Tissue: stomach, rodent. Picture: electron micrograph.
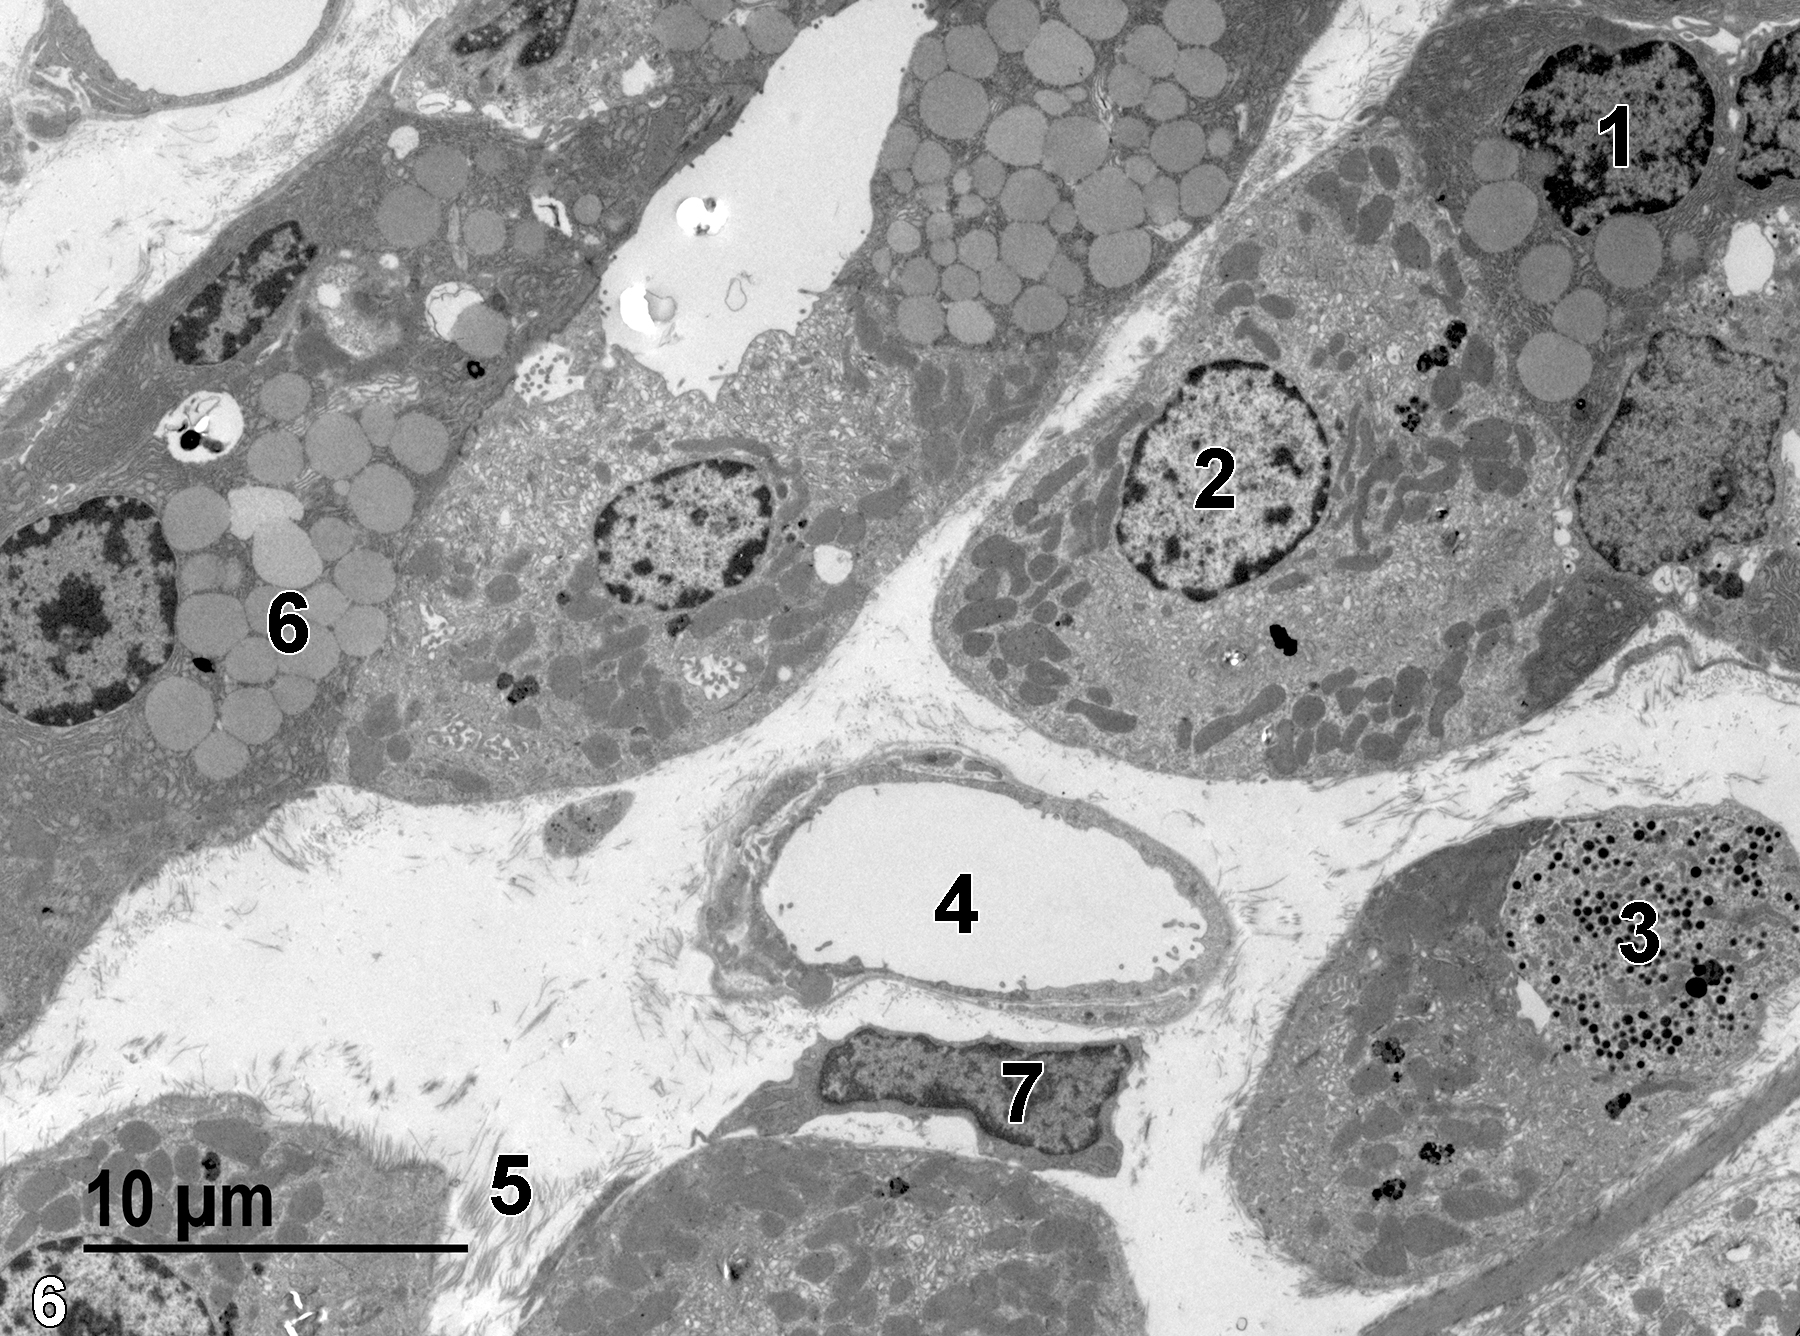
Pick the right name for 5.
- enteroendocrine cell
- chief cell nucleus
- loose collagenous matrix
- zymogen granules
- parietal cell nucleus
loose collagenous matrix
